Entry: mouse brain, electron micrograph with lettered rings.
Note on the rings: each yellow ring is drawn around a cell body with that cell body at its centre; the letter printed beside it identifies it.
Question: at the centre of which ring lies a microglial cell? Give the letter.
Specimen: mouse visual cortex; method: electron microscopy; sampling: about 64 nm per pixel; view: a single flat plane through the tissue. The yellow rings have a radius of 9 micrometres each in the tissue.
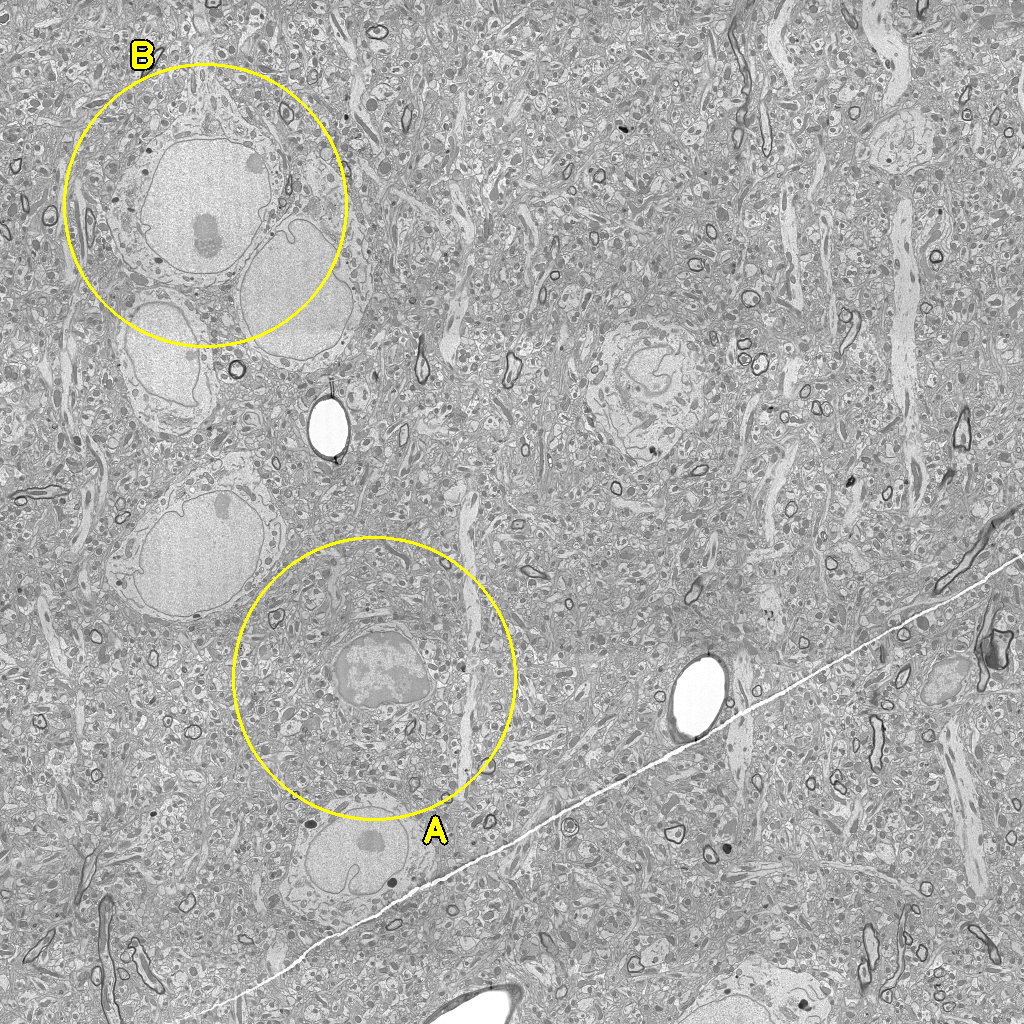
A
